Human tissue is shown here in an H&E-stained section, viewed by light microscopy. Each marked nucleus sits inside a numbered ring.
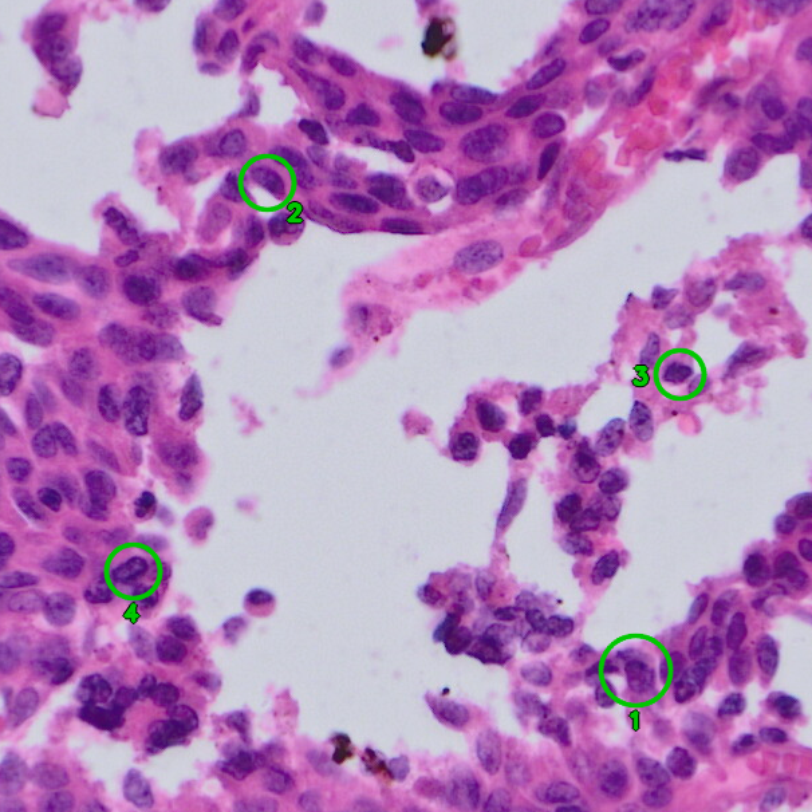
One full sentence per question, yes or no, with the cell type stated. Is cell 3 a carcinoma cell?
No, with respect, cell 3 is a macrophage or monocyte rather than a carcinoma cell.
